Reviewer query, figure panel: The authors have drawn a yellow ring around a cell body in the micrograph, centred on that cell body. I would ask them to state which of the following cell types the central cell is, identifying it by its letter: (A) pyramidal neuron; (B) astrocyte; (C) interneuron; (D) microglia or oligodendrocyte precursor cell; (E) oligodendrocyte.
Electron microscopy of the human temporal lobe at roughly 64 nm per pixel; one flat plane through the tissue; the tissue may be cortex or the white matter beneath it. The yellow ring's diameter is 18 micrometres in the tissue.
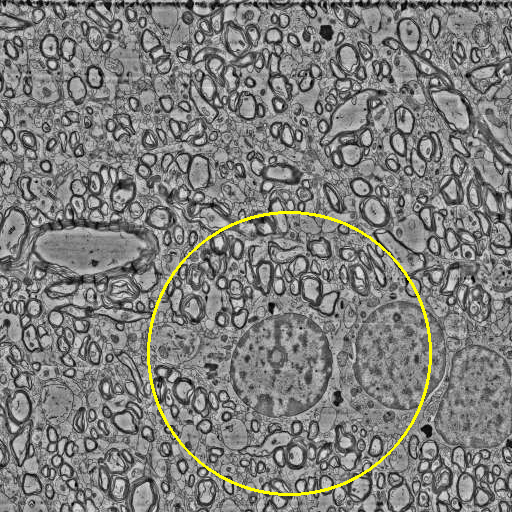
D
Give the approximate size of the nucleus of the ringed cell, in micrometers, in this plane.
The nucleus is about 6 micrometres across in this plane.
